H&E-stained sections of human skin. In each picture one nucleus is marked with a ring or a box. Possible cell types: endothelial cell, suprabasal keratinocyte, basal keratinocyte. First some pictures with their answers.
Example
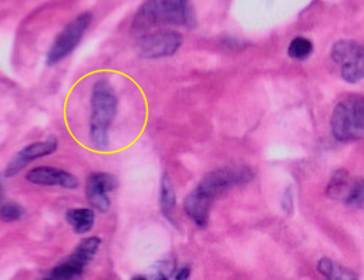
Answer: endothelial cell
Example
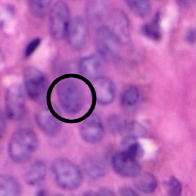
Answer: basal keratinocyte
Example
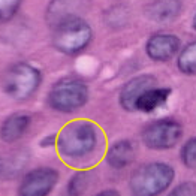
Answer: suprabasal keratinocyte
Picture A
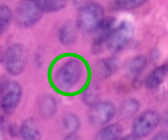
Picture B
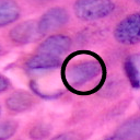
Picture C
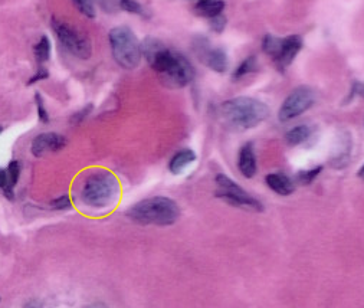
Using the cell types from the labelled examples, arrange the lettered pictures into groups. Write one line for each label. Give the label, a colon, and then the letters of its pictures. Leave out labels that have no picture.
endothelial cell: C
suprabasal keratinocyte: A
basal keratinocyte: B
